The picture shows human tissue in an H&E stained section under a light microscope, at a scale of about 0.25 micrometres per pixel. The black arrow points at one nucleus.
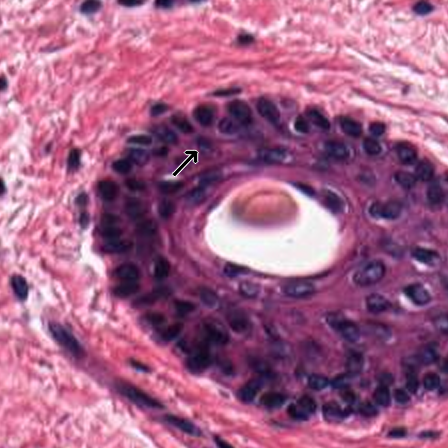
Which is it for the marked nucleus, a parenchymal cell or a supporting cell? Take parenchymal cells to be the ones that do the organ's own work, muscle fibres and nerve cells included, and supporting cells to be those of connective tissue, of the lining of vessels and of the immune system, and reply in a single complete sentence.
The nucleus marked here belongs to a parenchymal cell, namely a keratinocyte.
